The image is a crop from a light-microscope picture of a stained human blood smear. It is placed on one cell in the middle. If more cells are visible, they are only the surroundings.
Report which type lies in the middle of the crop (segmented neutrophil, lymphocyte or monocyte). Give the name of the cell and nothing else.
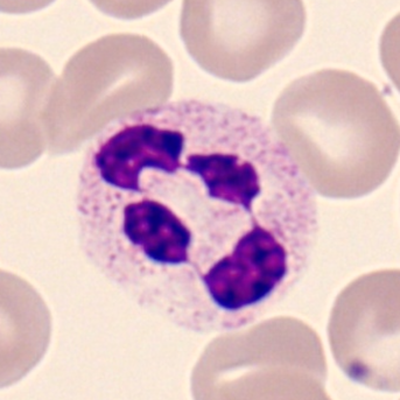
segmented neutrophil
